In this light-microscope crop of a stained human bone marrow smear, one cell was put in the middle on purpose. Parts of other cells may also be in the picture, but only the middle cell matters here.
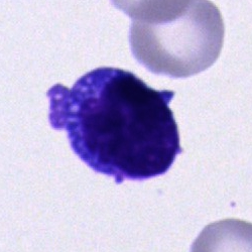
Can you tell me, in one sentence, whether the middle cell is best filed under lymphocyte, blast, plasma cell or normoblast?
Here the centrally located cell is a blast.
